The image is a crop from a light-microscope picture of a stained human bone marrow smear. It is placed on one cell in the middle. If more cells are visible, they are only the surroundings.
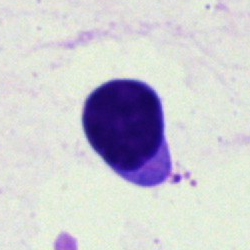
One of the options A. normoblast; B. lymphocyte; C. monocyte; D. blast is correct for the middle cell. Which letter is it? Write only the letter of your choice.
B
